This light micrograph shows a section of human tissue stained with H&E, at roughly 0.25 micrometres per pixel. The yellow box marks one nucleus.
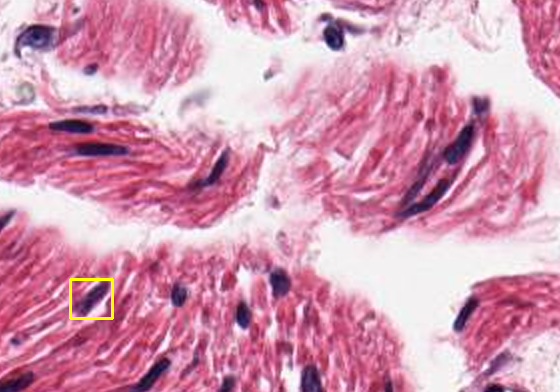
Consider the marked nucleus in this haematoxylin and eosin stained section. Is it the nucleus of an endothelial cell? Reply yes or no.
no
